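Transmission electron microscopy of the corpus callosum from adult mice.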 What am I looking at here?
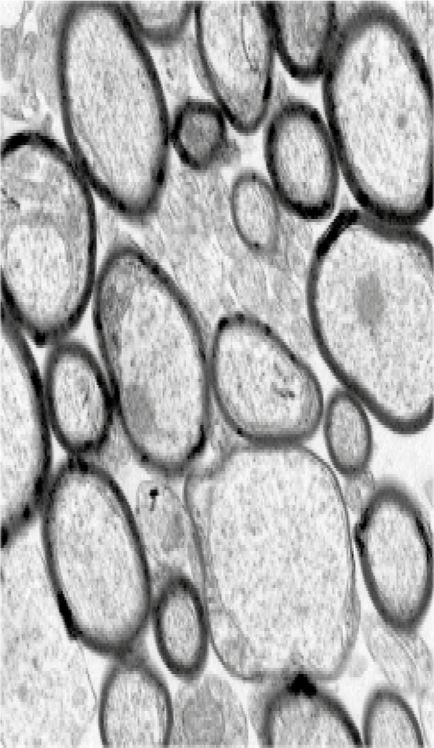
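This electron micrograph shows closely packed myelinated nerve fibres cut in cross-section. Each fibre appears as a round to oval pale axon enclosed by a dark, electron-dense ring of myelin, and the ring thickness varies between fibres. The axoplasm has a fine granular texture, and some axons contain small darker bodies. The narrow spaces between the fibres are filled with grey material containing small unmyelinated profiles.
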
